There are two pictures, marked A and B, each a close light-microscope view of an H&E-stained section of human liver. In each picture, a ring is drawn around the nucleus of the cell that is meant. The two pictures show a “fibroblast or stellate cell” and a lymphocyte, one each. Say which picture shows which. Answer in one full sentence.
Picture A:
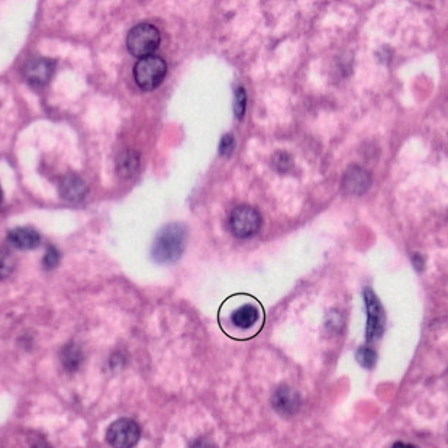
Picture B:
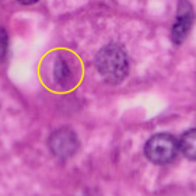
The cell in picture A is a lymphocyte, and the one in picture B is a “fibroblast or stellate cell”.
